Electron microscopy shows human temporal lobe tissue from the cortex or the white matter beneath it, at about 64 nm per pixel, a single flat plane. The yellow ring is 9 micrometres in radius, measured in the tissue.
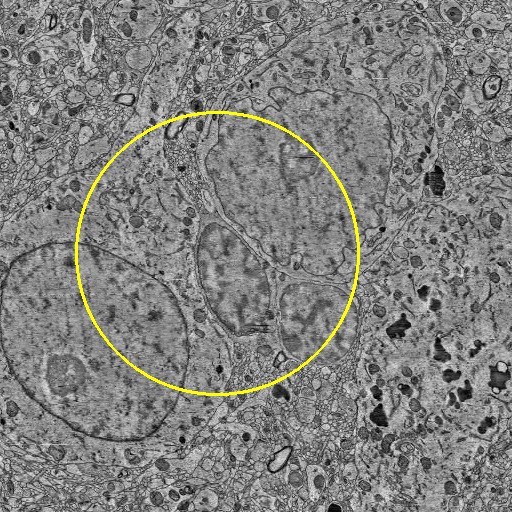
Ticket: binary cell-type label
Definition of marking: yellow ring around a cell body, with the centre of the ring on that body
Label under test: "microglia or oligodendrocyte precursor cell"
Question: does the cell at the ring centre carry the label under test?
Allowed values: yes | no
no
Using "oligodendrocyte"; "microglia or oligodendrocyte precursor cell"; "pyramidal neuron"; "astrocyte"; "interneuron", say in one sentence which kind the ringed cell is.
At the centre of the ring sits an oligodendrocyte.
